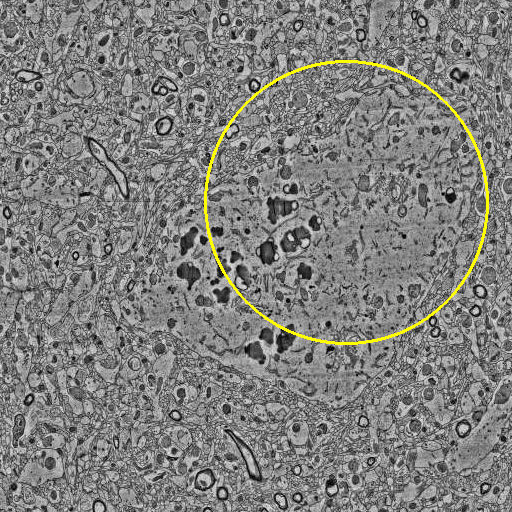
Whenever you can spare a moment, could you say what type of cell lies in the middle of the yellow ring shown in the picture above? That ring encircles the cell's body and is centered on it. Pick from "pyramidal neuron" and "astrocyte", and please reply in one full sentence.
The cell whose body sits at the middle of the yellow ring is a pyramidal neuron.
